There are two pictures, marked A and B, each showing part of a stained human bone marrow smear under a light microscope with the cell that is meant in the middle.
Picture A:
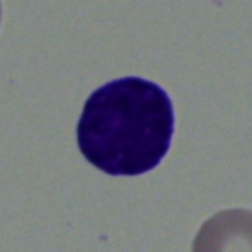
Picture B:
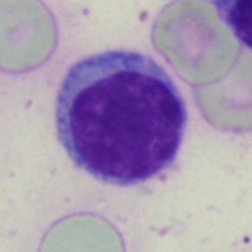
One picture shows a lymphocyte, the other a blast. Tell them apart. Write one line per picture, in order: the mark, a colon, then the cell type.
A: blast
B: lymphocyte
